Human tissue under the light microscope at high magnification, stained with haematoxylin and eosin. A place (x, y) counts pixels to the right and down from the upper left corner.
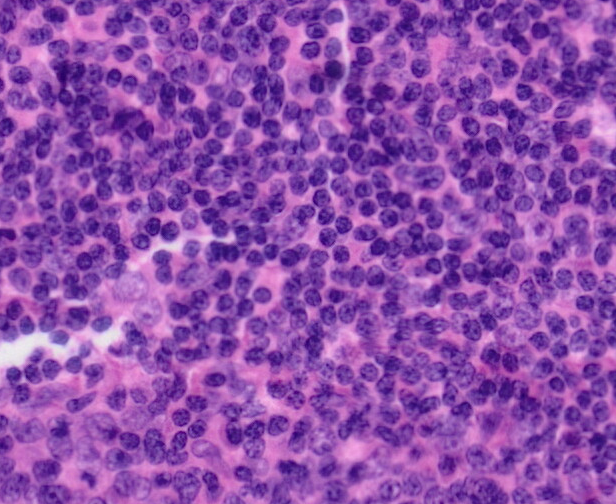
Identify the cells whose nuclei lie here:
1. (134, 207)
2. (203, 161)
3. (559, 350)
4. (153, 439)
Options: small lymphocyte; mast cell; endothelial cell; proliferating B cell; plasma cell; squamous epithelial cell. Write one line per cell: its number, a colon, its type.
1: small lymphocyte
2: small lymphocyte
3: small lymphocyte
4: proliferating B cell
